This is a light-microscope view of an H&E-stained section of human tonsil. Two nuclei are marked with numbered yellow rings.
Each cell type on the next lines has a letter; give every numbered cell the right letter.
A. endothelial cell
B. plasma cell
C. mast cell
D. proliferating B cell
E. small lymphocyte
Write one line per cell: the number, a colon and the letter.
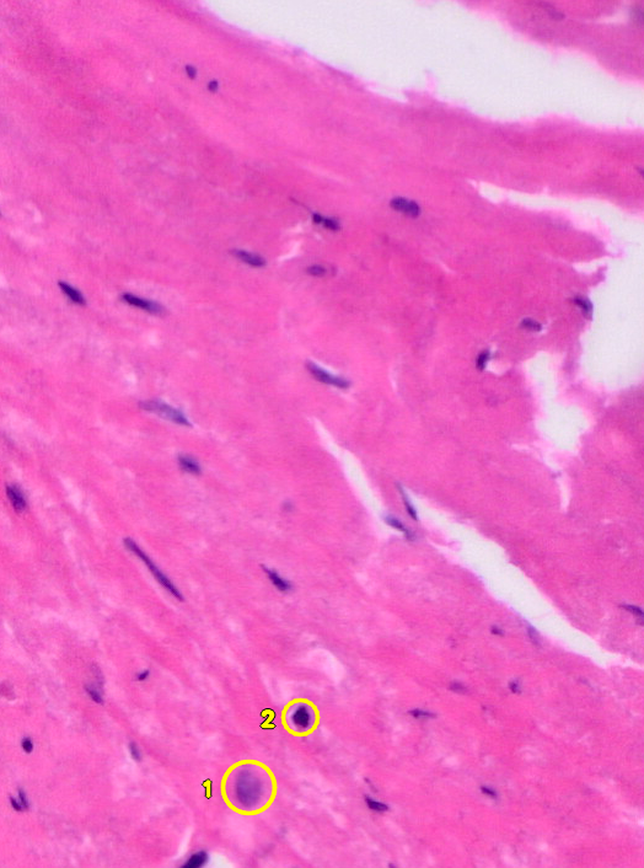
1: A
2: C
